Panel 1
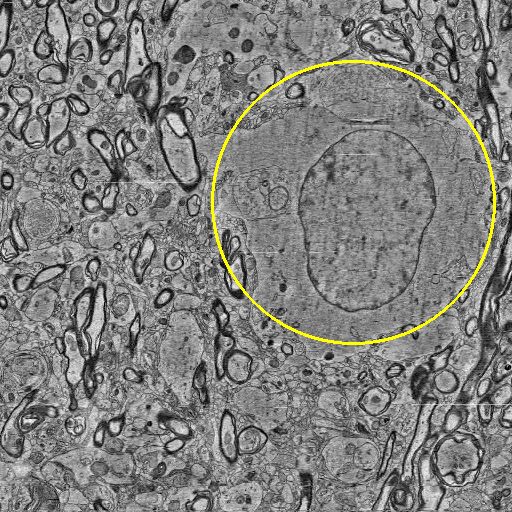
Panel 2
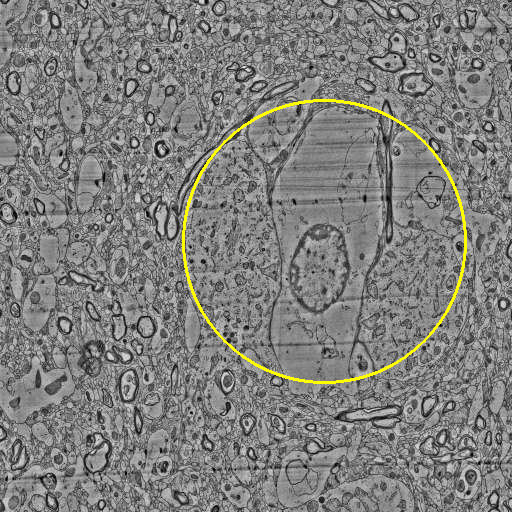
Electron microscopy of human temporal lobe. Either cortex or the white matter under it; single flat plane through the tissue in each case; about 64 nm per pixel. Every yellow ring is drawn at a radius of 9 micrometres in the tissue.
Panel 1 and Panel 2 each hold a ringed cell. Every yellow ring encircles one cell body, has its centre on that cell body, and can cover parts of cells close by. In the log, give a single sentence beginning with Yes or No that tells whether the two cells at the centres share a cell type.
Yes, in Panel 1 and Panel 2 the centred cells share a cell type.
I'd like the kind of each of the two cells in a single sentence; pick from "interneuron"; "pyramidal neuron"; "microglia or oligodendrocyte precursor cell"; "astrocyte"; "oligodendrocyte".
In the first picture and in the second, the ring is centred on an astrocyte.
